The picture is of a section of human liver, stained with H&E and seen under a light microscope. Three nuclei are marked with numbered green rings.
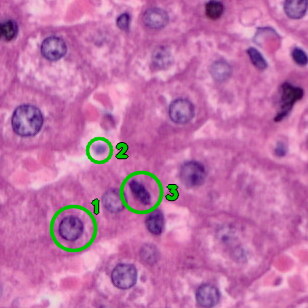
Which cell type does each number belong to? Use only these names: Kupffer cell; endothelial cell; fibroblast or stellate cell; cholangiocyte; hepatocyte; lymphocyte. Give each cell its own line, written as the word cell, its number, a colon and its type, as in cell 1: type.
cell 1: hepatocyte
cell 2: lymphocyte
cell 3: fibroblast or stellate cell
